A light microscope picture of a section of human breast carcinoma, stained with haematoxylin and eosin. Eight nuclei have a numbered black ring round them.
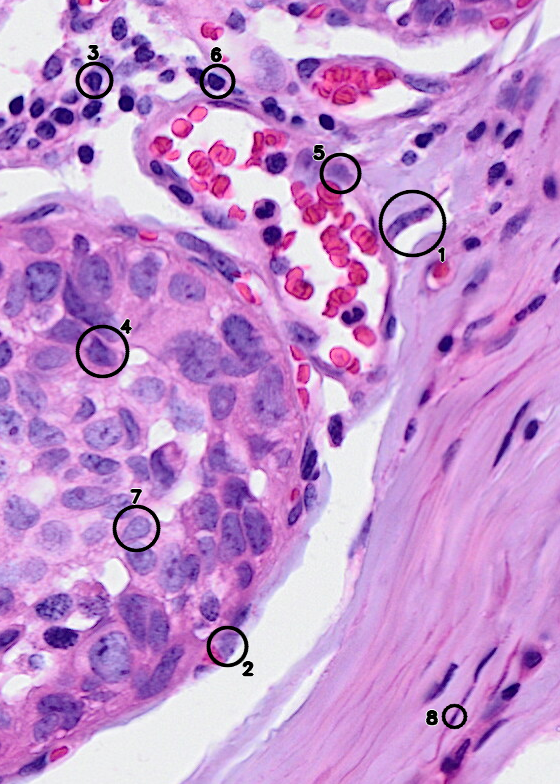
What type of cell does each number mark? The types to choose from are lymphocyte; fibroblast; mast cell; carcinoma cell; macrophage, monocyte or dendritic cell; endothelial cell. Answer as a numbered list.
1. fibroblast
2. endothelial cell
3. lymphocyte
4. carcinoma cell
5. endothelial cell
6. lymphocyte
7. carcinoma cell
8. fibroblast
